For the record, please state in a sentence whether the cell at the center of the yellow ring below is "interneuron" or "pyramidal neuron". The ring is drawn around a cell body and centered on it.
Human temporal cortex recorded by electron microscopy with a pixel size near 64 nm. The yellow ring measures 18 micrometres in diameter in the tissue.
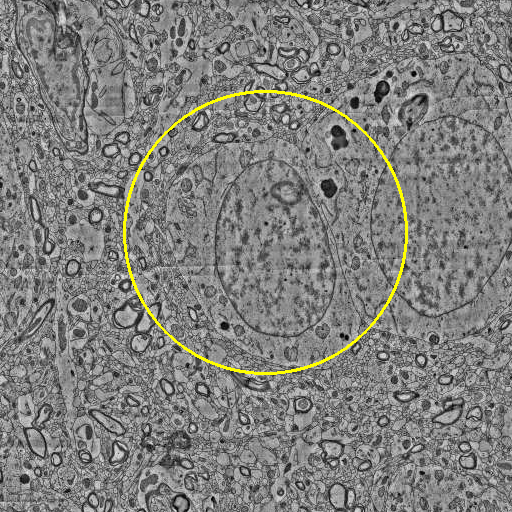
The cell at the ring's center is a pyramidal neuron.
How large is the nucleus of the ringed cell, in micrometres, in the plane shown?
The nucleus is approximately 11 micrometres long but only about 8 wide, clearly longer than it is wide in this plane.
